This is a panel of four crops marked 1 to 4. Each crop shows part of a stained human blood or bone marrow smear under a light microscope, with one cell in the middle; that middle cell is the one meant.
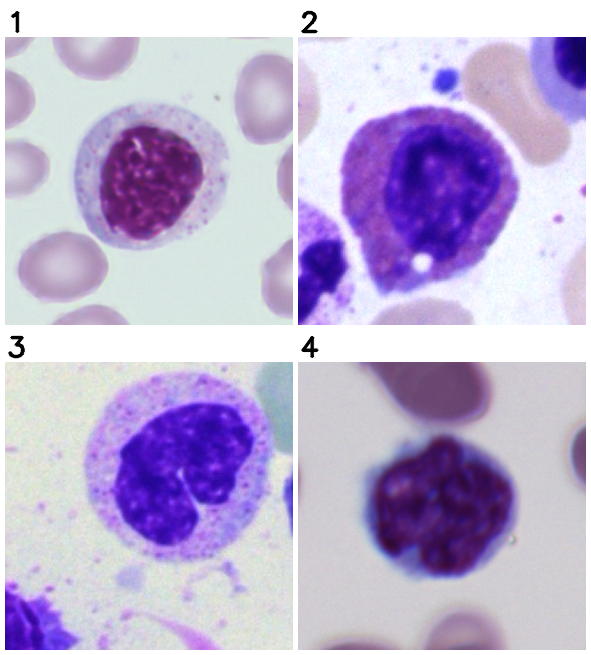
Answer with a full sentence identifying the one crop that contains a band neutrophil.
Crop 3 is the correct crop, and it shows a band neutrophil.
